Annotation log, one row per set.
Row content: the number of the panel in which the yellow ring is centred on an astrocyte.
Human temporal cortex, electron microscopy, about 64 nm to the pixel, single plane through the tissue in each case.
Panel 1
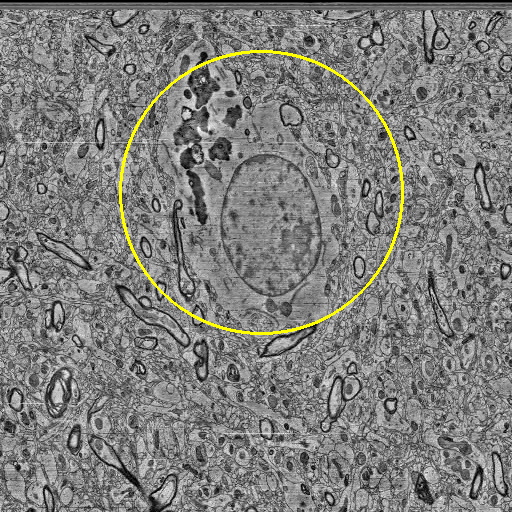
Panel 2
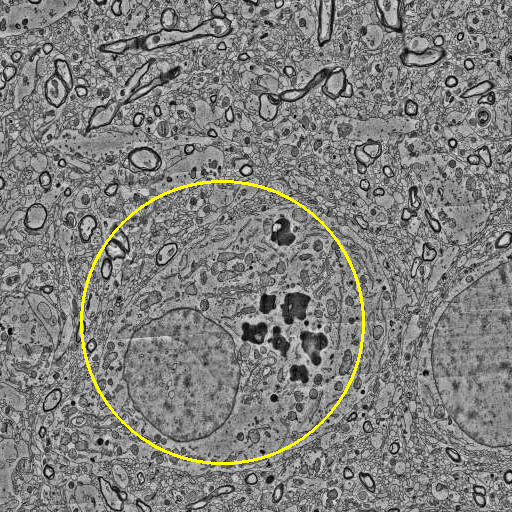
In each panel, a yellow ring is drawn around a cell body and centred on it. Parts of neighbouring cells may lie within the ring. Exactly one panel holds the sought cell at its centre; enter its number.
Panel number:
1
